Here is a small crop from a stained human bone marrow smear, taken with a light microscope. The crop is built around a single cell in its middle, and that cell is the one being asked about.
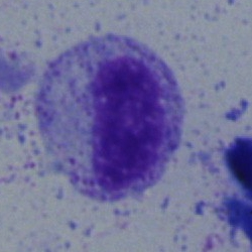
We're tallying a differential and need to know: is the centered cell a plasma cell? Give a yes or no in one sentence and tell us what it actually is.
No, at the centre of this crop is found a myelocyte instead of a plasma cell.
